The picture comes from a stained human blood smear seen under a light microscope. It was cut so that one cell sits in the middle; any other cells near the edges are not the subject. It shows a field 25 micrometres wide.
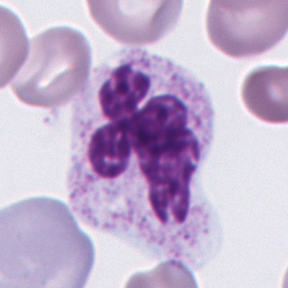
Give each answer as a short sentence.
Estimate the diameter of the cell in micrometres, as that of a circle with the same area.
The diameter of the cell comes to about 15 micrometres.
